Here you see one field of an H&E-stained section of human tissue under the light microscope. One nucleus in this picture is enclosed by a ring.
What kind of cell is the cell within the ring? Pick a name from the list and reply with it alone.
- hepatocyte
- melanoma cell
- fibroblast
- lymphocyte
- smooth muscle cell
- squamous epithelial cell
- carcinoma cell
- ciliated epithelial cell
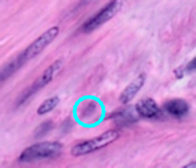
smooth muscle cell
